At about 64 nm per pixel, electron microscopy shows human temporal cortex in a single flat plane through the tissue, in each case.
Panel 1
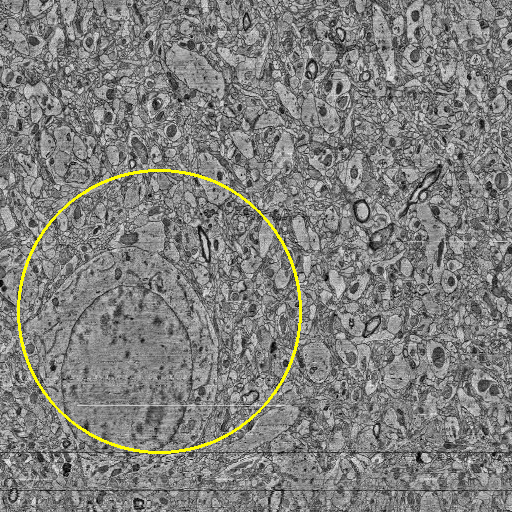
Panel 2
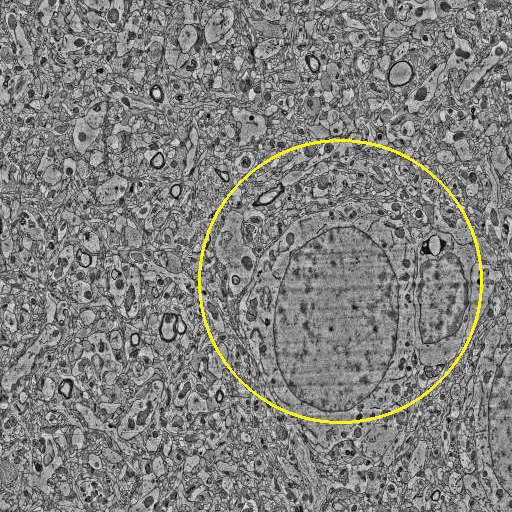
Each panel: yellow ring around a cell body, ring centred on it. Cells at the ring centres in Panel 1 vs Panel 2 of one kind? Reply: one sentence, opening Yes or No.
Yes, Panel 1 and Panel 2 have cells of one kind at the ring centres.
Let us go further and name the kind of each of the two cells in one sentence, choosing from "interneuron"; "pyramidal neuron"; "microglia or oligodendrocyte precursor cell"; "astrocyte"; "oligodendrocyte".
Each cell, in the first picture and the second, is a pyramidal neuron.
